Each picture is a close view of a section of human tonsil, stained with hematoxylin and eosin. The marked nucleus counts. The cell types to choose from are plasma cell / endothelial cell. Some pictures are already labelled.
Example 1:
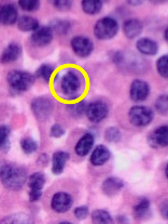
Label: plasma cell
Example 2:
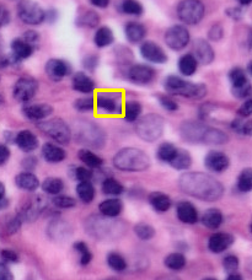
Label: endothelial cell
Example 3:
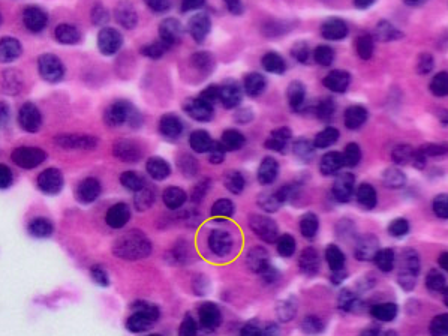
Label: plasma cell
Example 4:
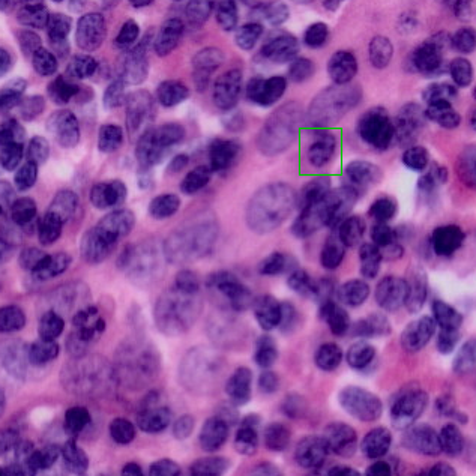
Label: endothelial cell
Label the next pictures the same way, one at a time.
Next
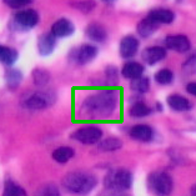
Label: endothelial cell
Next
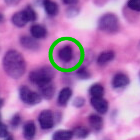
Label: endothelial cell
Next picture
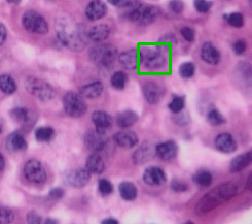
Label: plasma cell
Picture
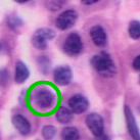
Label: plasma cell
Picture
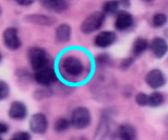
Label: endothelial cell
